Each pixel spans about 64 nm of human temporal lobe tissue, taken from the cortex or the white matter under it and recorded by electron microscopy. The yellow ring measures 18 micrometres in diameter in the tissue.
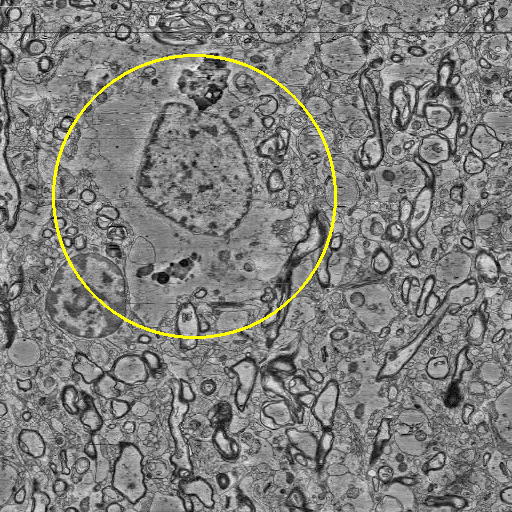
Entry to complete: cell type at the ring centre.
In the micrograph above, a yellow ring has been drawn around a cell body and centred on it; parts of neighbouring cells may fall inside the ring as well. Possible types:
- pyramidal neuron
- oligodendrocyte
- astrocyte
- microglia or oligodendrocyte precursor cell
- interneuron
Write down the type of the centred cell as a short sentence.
The ring is centred on an astrocyte.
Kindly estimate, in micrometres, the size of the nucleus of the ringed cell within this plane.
The nucleus comes to roughly 9 by 7 micrometres in this plane.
